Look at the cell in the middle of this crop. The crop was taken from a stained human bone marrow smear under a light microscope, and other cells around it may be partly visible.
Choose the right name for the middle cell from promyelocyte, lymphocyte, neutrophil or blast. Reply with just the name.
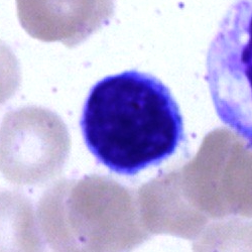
lymphocyte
